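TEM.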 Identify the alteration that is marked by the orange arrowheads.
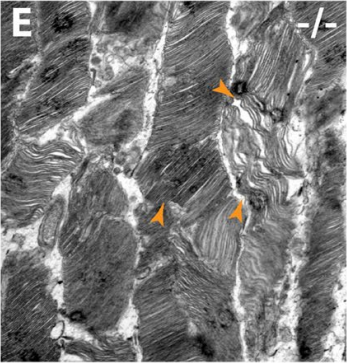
Defective and disorganized disc membranes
